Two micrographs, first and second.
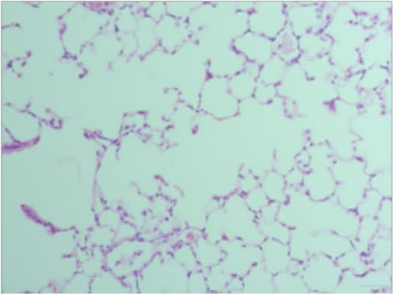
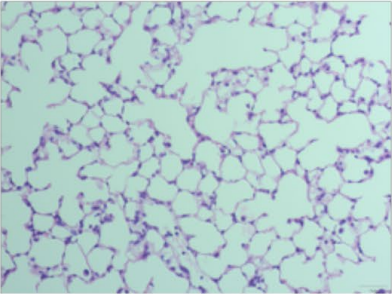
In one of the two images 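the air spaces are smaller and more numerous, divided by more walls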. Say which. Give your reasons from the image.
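Second image: the field is filled with many small, closely packed air spaces separated by numerous thin walls. First image: the air spaces are larger and fewer, with sparser walls and wide open areas. On this evidence: the second image.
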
